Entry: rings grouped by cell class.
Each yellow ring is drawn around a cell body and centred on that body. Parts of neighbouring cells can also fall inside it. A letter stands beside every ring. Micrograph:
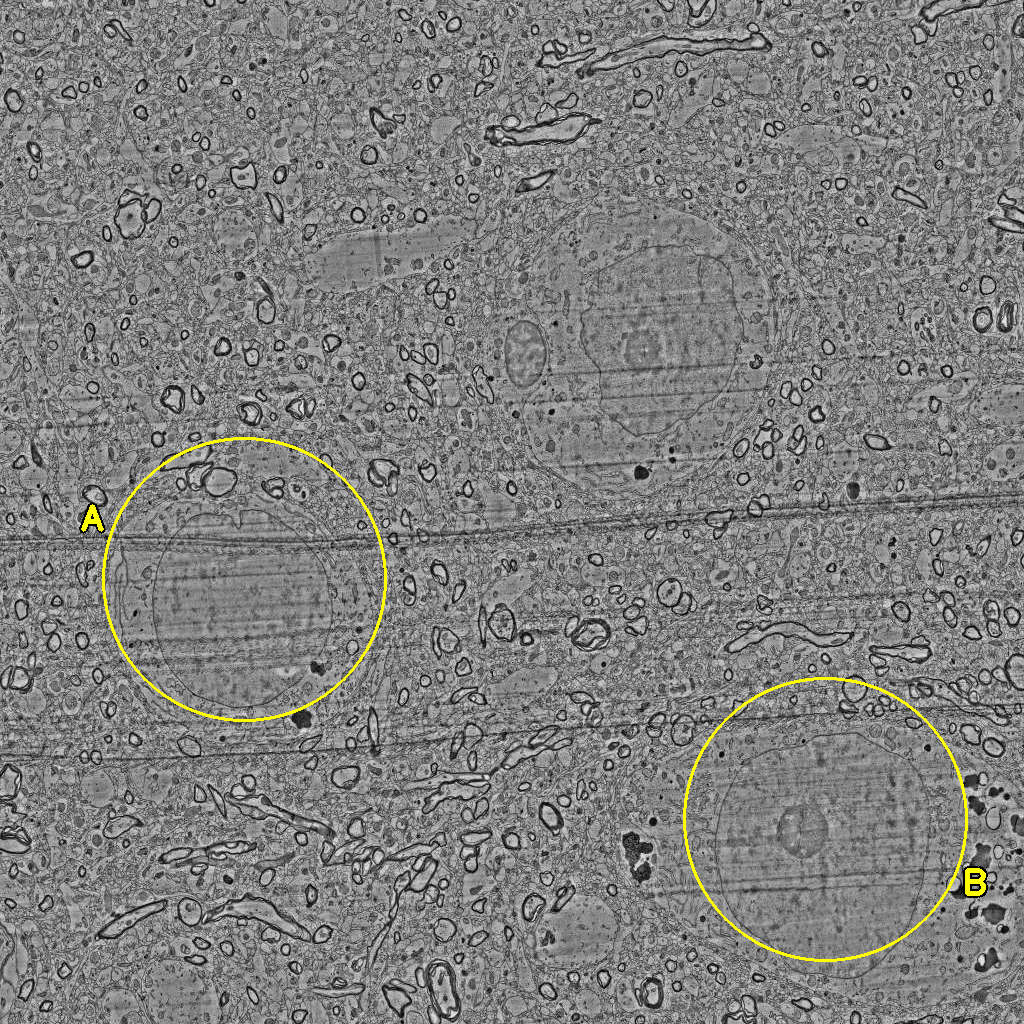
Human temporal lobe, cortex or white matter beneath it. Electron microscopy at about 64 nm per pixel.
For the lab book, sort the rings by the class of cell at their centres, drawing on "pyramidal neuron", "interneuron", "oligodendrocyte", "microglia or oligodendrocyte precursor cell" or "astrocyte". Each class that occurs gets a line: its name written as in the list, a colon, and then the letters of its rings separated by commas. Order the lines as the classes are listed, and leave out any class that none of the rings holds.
pyramidal neuron: A, B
